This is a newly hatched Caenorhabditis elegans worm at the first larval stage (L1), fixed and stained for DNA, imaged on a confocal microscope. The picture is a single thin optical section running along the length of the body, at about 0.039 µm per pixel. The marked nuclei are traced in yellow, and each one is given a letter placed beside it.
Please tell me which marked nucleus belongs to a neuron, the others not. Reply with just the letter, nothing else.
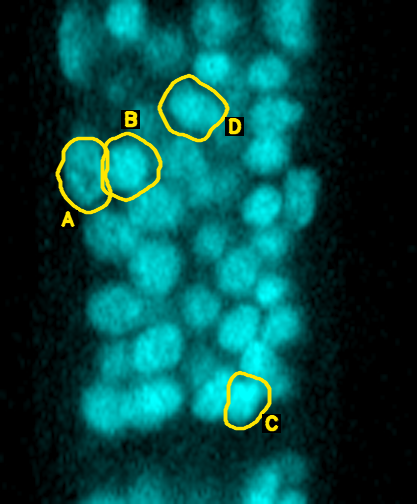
B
